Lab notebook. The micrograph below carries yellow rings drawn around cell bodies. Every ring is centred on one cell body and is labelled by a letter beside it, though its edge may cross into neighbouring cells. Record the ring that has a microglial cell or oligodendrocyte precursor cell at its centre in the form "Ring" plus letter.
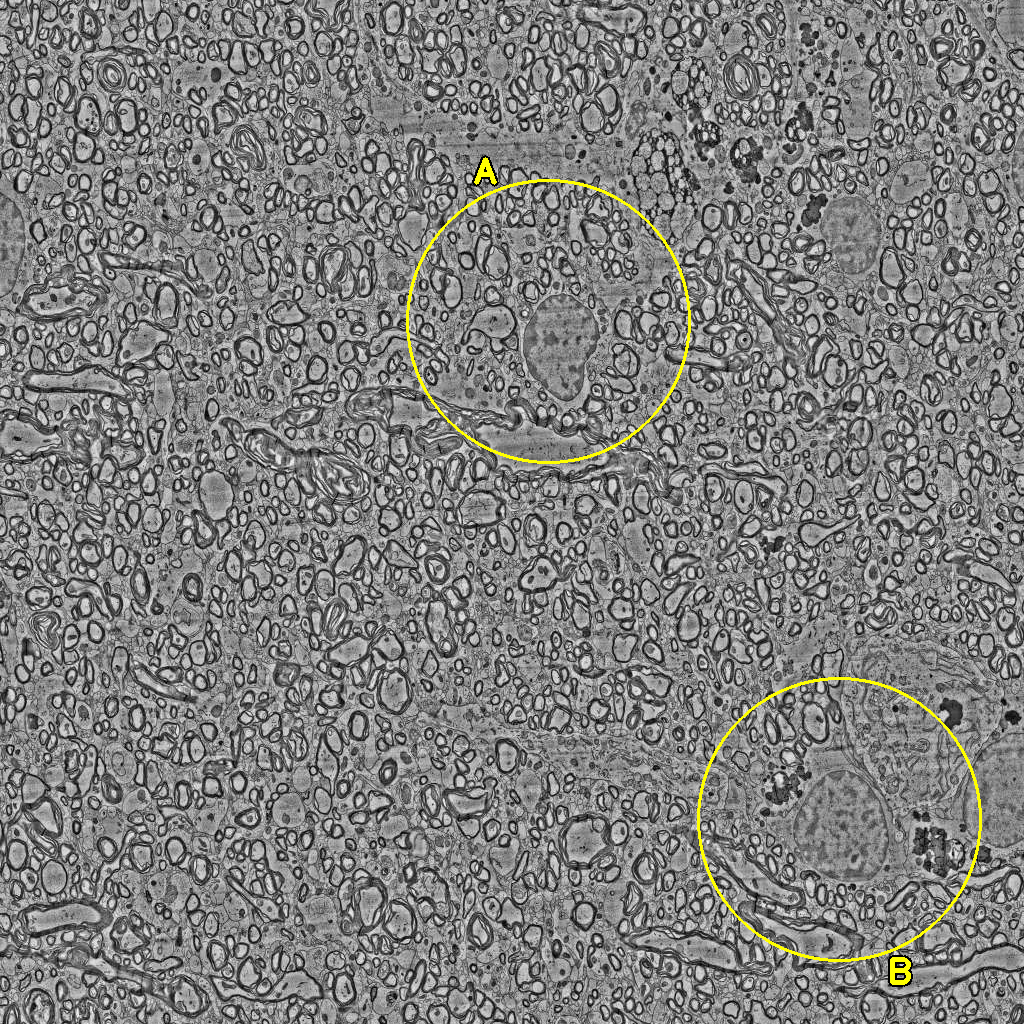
Ring A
